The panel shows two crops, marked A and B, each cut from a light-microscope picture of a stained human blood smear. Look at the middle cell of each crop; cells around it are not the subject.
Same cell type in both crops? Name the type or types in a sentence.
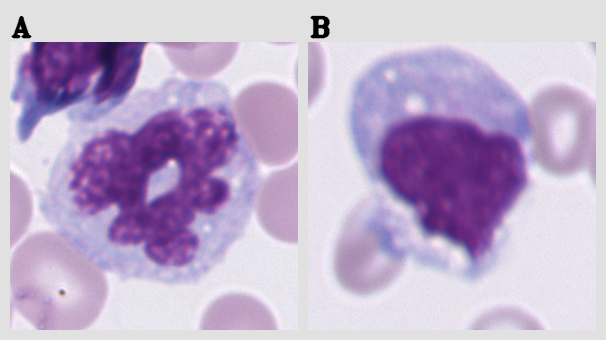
Yes, the cells under consideration in both crops are monocytes.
